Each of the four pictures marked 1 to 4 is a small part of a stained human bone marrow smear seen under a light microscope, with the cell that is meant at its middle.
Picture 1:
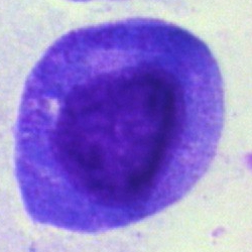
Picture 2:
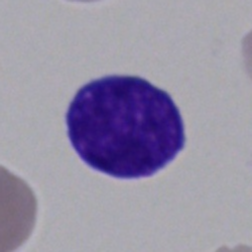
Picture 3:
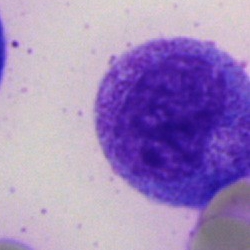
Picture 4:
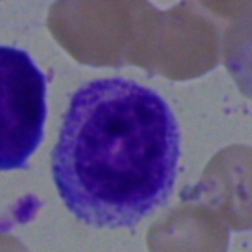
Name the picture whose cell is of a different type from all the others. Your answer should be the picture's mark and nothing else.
2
